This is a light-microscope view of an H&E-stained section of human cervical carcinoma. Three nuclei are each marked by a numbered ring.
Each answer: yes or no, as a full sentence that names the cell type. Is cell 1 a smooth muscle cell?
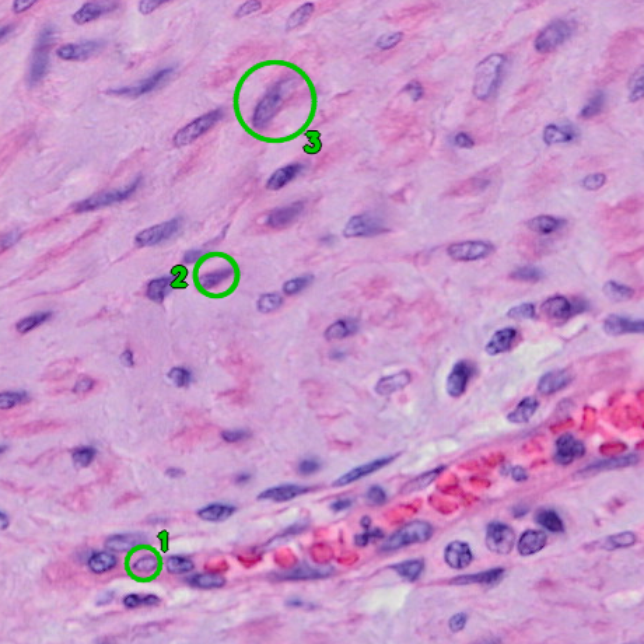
No, the cell tagged 1 is an endothelial cell, not a smooth muscle cell.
